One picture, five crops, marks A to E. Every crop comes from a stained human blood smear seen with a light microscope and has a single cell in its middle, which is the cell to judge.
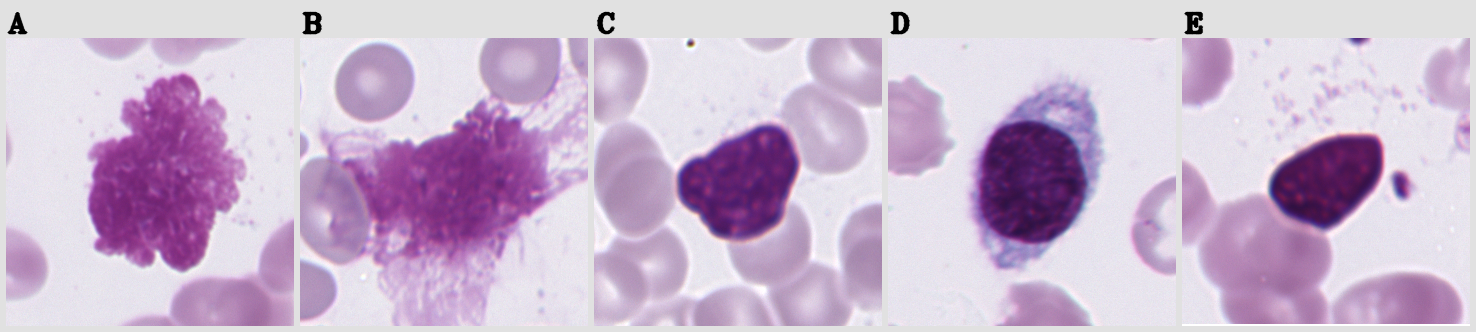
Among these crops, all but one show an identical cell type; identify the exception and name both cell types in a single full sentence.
In contrast to the other crops, all of which show smudge cells, crop D shows a hairy cell.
